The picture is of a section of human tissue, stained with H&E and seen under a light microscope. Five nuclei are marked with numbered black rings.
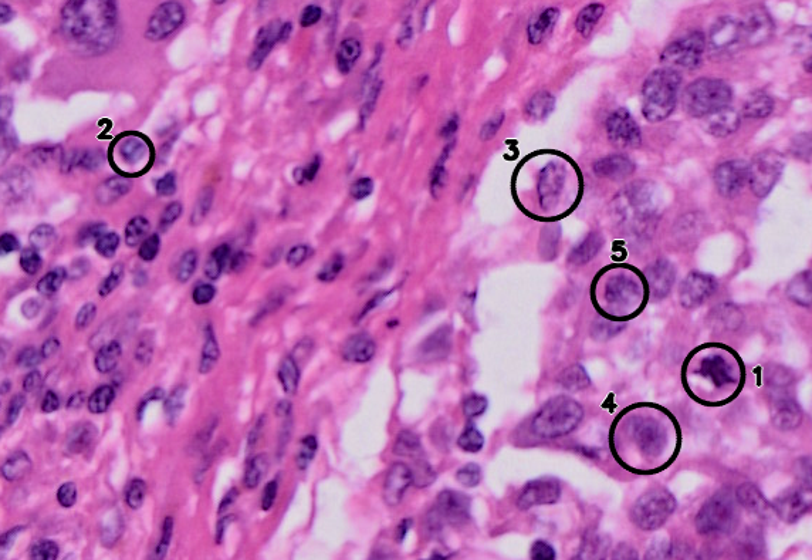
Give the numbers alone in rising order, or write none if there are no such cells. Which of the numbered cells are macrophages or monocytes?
3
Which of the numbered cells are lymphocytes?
2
